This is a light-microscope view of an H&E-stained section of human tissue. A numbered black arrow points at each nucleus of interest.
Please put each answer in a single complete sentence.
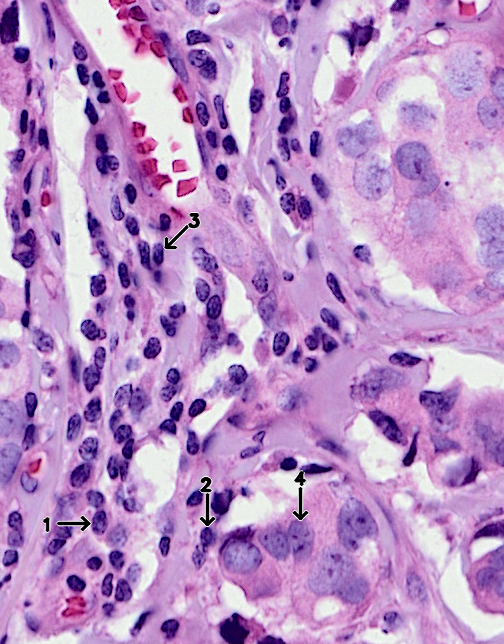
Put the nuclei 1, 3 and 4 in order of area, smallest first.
Smallest first, the nuclei run 3, 1, 4.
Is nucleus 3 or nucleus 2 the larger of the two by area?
Nucleus 2 is the larger one, covering about 1.5 times the area of nucleus 3.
